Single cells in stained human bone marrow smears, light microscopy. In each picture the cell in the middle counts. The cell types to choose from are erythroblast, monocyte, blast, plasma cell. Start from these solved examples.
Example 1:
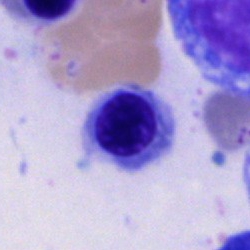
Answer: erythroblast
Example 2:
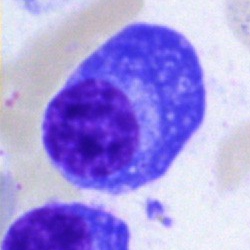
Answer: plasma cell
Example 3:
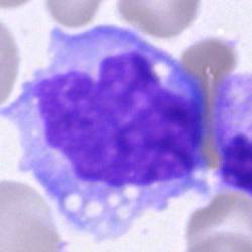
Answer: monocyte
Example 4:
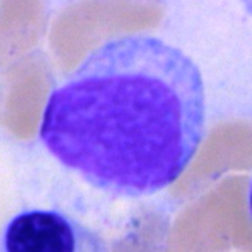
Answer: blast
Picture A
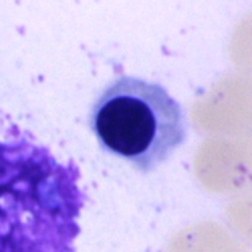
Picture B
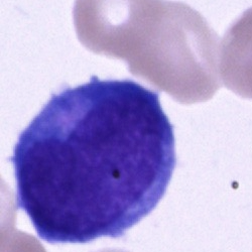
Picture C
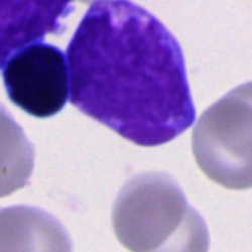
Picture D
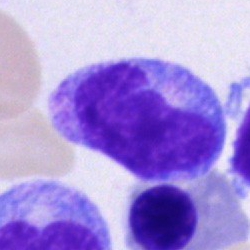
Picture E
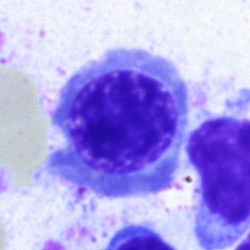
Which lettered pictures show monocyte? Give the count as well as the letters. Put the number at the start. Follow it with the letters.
1: D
